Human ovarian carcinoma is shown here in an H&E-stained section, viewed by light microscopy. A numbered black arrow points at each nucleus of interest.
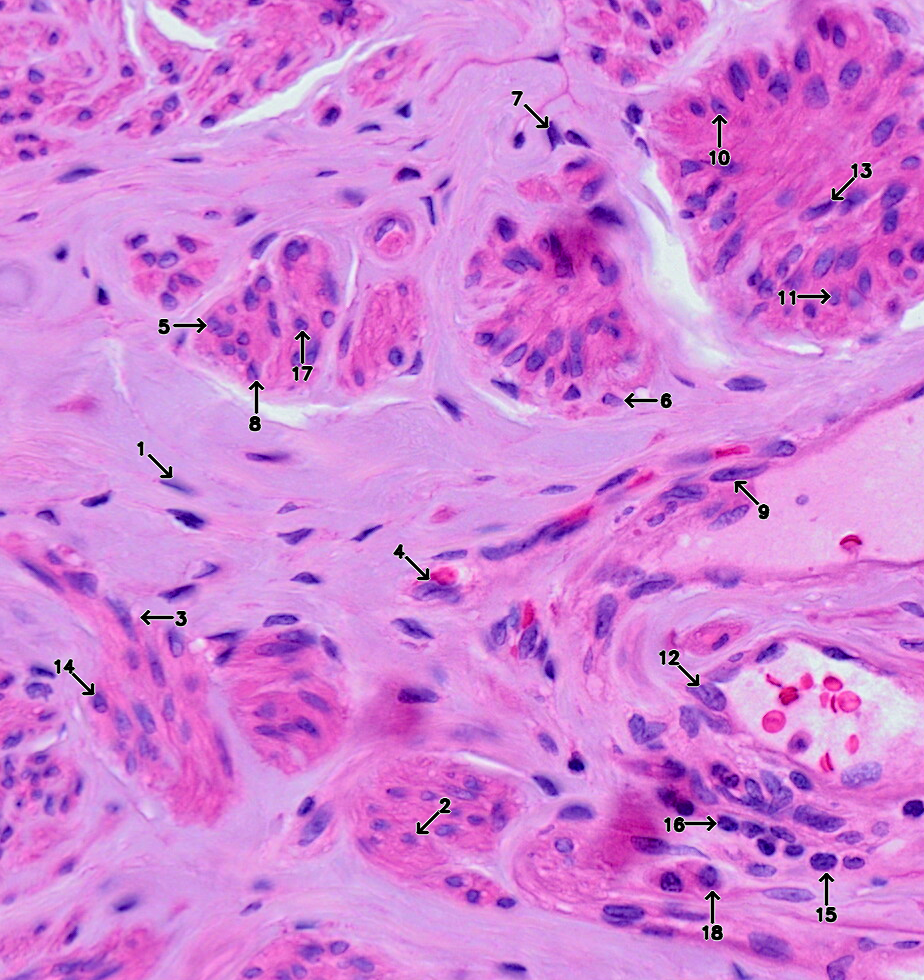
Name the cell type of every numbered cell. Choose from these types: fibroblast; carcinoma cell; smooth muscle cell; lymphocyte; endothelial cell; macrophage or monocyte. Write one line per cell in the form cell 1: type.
cell 1: fibroblast
cell 2: smooth muscle cell
cell 3: smooth muscle cell
cell 4: endothelial cell
cell 5: smooth muscle cell
cell 6: smooth muscle cell
cell 7: fibroblast
cell 8: smooth muscle cell
cell 9: endothelial cell
cell 10: smooth muscle cell
cell 11: smooth muscle cell
cell 12: endothelial cell
cell 13: smooth muscle cell
cell 14: smooth muscle cell
cell 15: lymphocyte
cell 16: lymphocyte
cell 17: smooth muscle cell
cell 18: lymphocyte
